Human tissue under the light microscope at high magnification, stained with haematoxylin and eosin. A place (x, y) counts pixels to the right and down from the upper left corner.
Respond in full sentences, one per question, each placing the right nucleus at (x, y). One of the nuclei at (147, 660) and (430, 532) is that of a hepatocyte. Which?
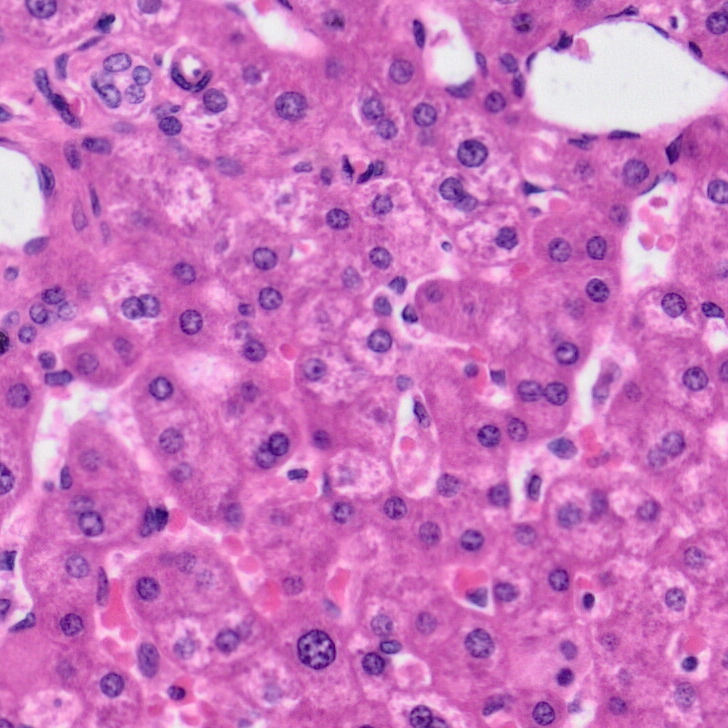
The pair contains one nucleus of a hepatocyte, namely the one at (430, 532).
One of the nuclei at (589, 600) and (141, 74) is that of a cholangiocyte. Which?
That would be the nucleus at (141, 74); it belongs to a cholangiocyte.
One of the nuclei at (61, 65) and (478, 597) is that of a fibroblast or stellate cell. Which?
Assigned to a fibroblast or stellate cell is the nucleus located at (61, 65).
